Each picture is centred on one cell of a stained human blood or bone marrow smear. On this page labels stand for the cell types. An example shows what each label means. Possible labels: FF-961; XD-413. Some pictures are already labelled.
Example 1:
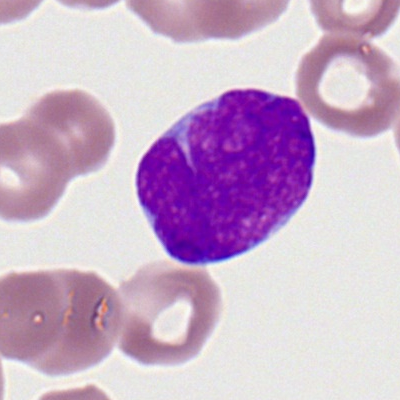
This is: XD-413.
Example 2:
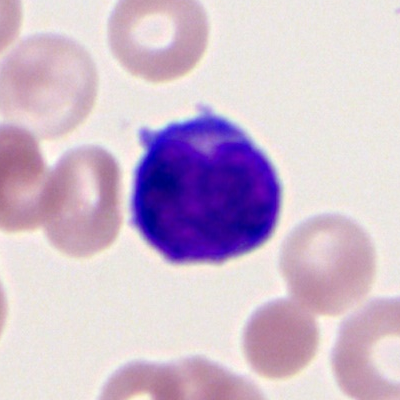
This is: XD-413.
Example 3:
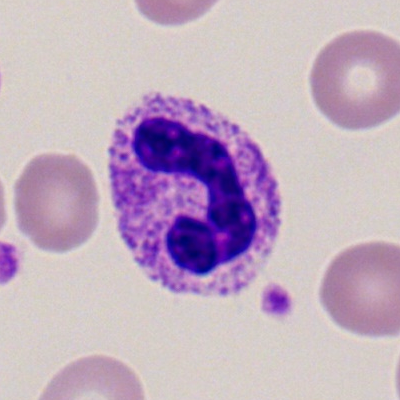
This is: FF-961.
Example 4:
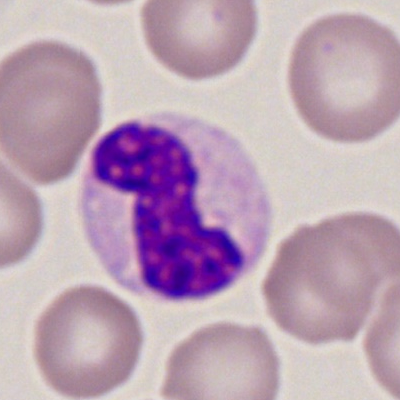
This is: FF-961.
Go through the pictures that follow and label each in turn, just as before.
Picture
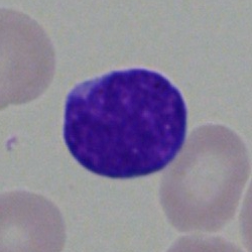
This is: XD-413.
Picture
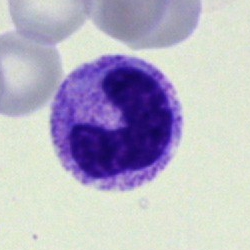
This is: FF-961.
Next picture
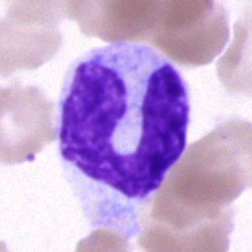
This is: FF-961.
